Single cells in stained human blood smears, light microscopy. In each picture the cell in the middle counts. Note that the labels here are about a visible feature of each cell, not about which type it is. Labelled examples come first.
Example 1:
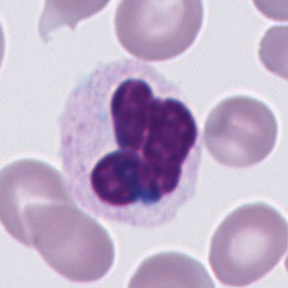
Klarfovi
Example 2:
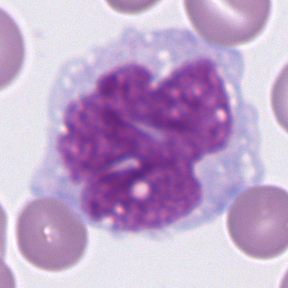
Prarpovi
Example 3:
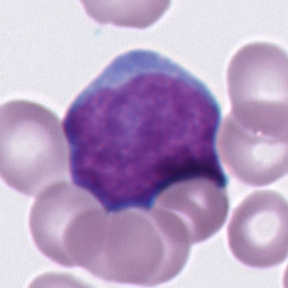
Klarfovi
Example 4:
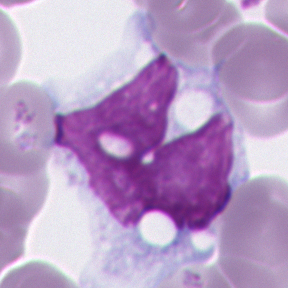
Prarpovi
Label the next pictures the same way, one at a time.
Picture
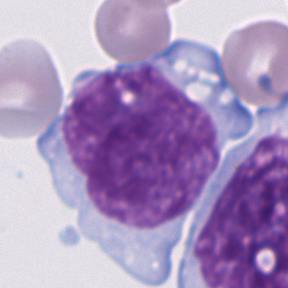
Prarpovi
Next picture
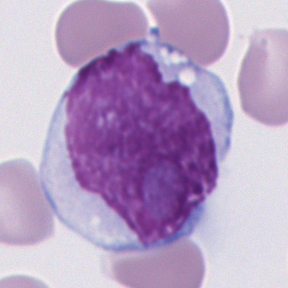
Prarpovi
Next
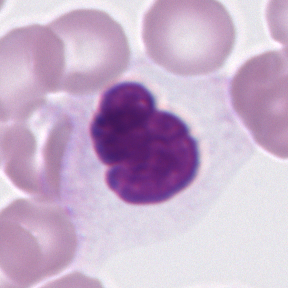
Klarfovi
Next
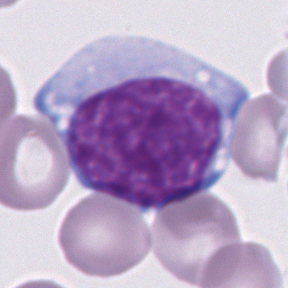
Prarpovi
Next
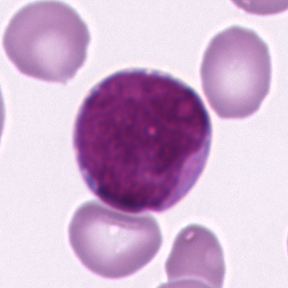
Klarfovi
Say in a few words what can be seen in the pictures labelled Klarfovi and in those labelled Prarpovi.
Klarfovi, no vacuoles; Prarpovi, vacuoles present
